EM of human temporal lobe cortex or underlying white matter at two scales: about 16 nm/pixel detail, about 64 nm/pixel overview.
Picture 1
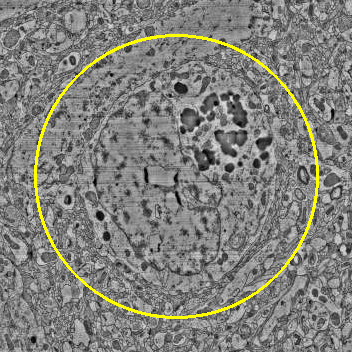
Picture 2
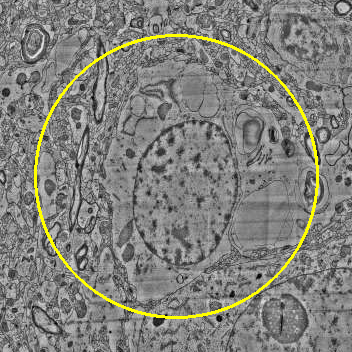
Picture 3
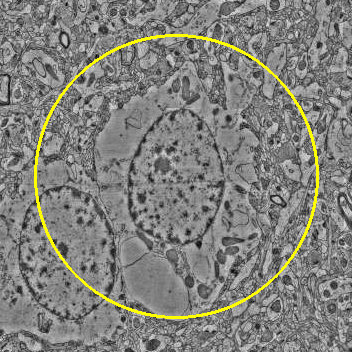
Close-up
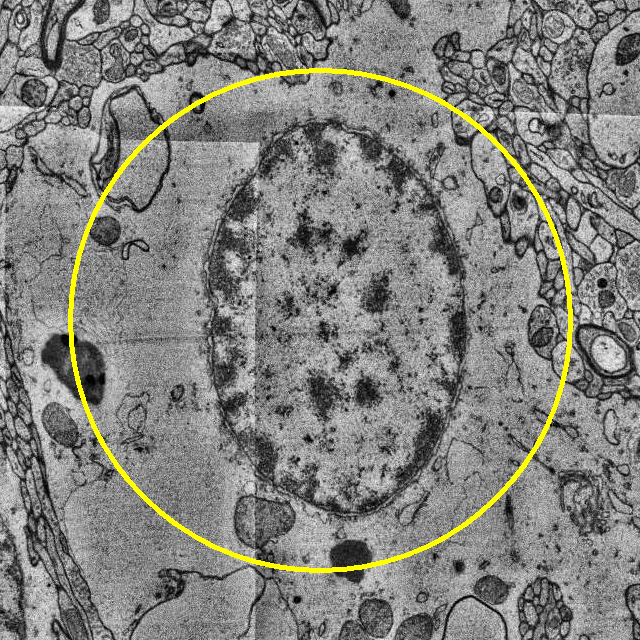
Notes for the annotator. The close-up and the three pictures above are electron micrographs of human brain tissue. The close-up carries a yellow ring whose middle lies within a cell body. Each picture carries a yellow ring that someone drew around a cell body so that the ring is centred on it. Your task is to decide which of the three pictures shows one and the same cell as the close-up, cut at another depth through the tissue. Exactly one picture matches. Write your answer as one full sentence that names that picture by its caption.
It is the cell in Picture 3 that appears in the close-up.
